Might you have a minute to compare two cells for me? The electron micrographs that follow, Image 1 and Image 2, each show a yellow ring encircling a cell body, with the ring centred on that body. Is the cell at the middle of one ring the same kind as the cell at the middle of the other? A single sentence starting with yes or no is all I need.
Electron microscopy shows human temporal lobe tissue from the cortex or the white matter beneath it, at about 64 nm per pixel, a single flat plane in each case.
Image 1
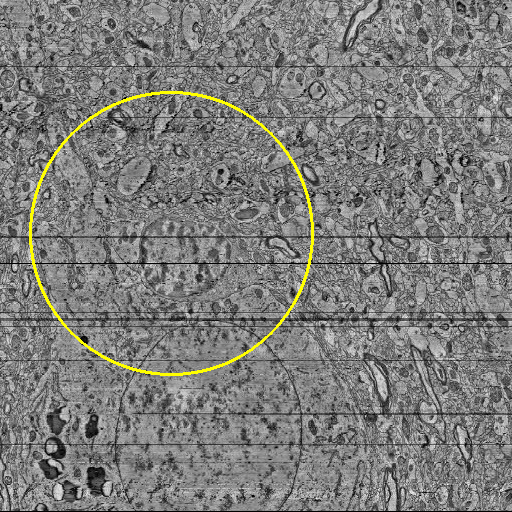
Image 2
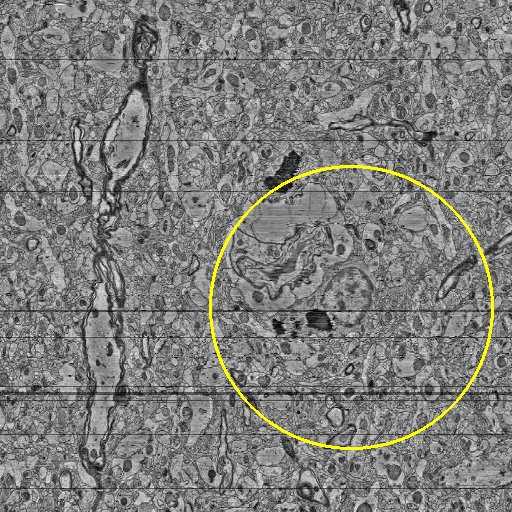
Yes, the cells in the middle of the two rings are of one shared kind.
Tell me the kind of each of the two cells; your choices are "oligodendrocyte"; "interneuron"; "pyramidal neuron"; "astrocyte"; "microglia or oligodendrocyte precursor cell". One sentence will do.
Each cell at the centre of a ring is an oligodendrocyte.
